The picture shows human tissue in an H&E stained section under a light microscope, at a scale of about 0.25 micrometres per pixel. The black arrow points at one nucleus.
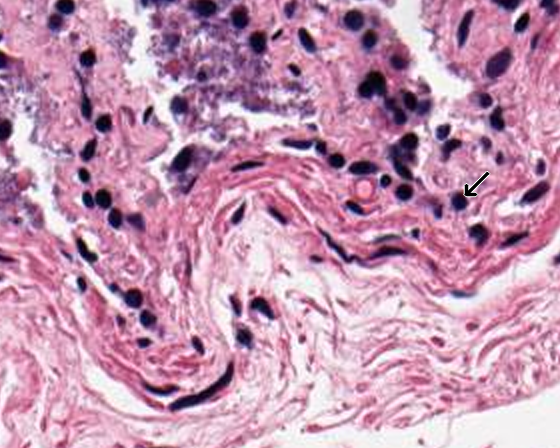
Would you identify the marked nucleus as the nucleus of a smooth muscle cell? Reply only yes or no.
no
